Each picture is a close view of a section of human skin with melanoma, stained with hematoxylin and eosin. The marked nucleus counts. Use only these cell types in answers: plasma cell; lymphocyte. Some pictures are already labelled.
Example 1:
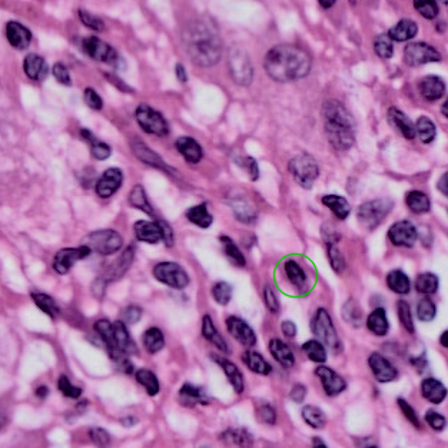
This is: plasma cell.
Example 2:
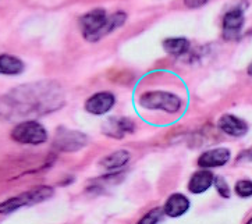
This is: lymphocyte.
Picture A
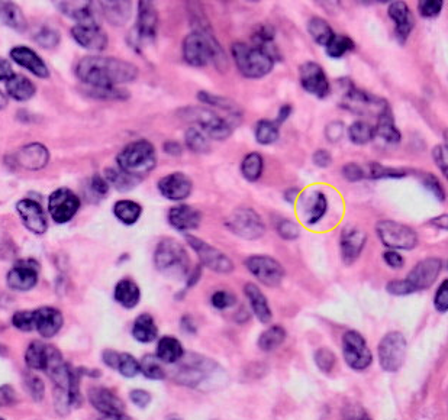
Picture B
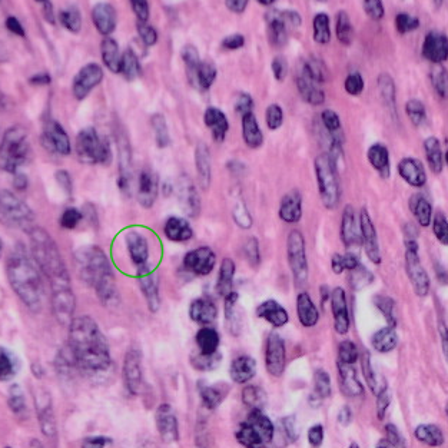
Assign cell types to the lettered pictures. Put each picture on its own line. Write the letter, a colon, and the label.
A: lymphocyte.
B: lymphocyte.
